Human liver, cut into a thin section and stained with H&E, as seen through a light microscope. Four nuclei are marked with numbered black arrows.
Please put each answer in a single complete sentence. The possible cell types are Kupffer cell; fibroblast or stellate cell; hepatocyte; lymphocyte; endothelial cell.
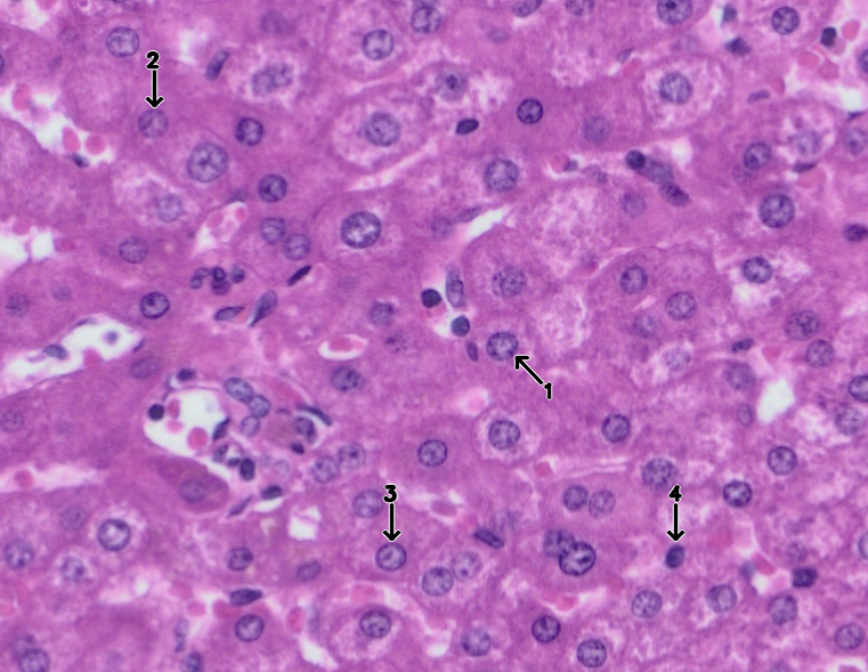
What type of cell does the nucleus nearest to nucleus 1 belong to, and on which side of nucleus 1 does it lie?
Just to the left of nucleus 1 lies the nearest nucleus, which belongs to a fibroblast or stellate cell.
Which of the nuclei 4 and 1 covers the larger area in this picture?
The larger nucleus is 1, at roughly 1.5 times the area of 4.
